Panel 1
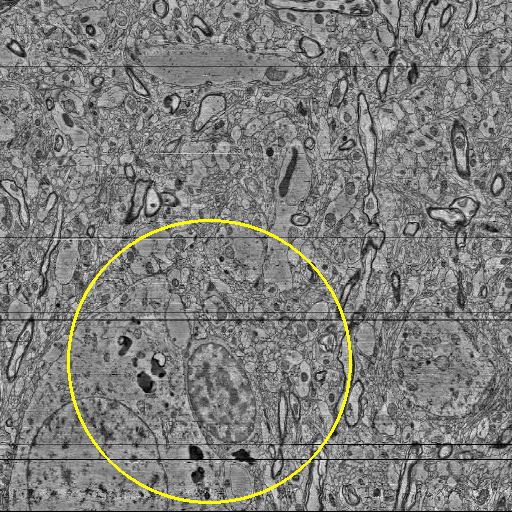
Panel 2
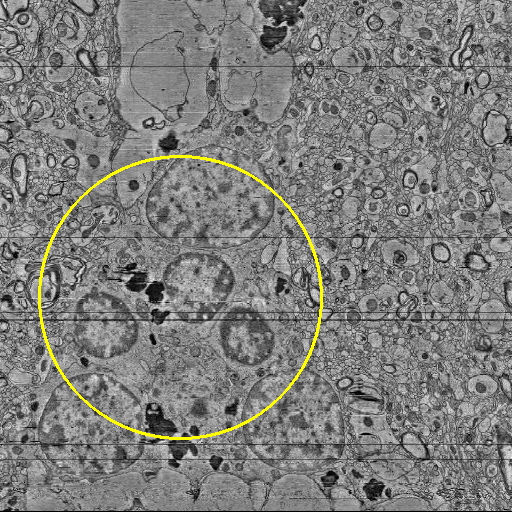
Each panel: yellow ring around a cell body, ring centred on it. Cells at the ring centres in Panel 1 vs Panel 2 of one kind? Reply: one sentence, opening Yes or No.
Yes, Panel 1 and Panel 2 have cells of one kind at the ring centres.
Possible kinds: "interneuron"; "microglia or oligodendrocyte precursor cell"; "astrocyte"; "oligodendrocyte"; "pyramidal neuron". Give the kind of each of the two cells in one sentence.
Each cell, in the first picture and the second, is an oligodendrocyte.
